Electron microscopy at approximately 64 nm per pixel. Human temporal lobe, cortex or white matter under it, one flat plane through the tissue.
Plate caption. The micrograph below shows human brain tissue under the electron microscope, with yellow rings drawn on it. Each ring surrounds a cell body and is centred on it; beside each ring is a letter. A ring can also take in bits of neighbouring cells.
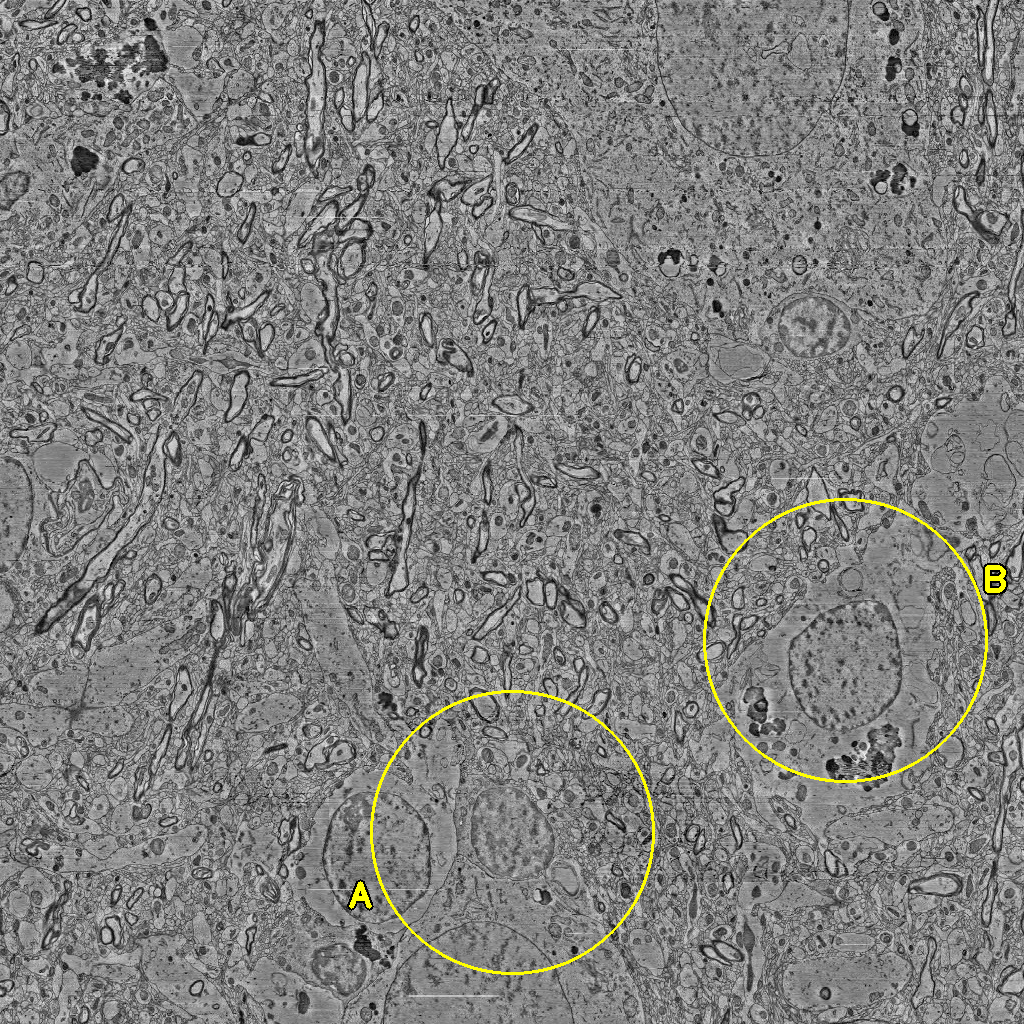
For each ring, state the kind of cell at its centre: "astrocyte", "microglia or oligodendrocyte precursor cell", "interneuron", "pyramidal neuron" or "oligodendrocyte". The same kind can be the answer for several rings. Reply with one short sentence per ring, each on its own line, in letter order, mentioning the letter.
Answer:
Ring A is drawn around an oligodendrocyte.
Ring B is drawn around an astrocyte.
